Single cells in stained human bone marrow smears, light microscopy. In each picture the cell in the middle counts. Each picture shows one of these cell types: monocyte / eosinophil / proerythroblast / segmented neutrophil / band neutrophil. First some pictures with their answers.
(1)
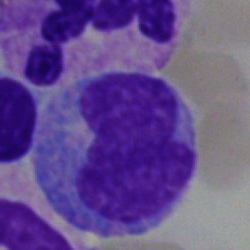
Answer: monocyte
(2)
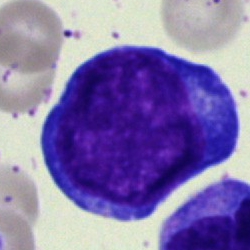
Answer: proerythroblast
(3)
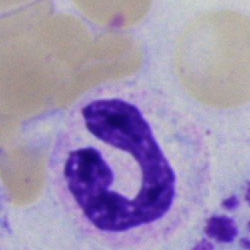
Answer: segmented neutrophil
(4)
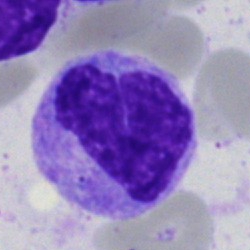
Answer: monocyte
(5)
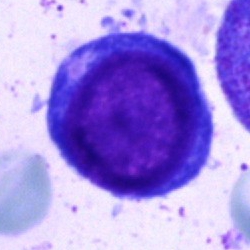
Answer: proerythroblast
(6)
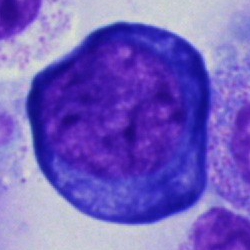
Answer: proerythroblast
